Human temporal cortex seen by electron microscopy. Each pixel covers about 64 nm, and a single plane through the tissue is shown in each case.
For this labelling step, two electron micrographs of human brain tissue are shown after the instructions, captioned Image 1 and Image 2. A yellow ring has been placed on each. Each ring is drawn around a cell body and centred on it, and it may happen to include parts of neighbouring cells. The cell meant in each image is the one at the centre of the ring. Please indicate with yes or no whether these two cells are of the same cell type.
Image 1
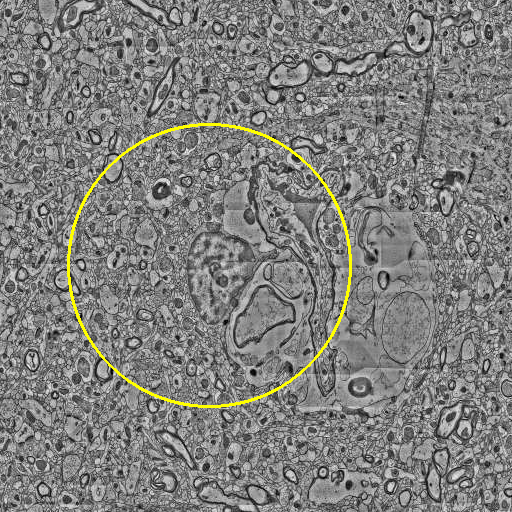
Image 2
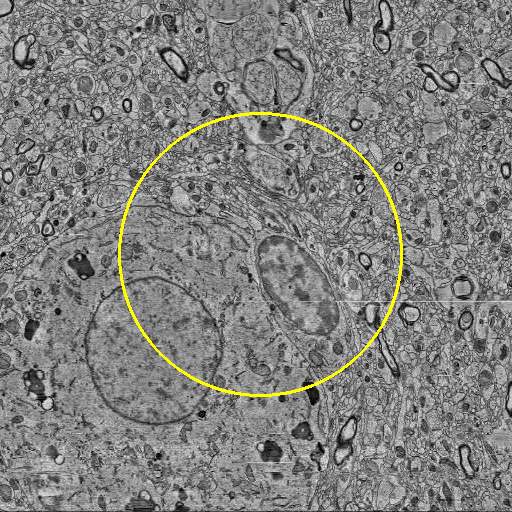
yes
